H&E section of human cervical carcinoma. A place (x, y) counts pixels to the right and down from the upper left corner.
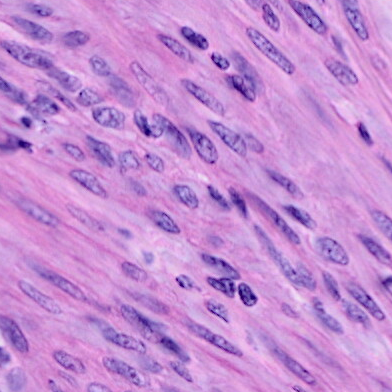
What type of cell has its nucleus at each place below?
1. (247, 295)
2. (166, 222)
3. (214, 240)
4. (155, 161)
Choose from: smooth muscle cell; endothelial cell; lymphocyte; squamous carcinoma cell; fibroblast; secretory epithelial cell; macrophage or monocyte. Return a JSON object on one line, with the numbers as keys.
{"1": "lymphocyte", "2": "smooth muscle cell", "3": "smooth muscle cell", "4": "smooth muscle cell"}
